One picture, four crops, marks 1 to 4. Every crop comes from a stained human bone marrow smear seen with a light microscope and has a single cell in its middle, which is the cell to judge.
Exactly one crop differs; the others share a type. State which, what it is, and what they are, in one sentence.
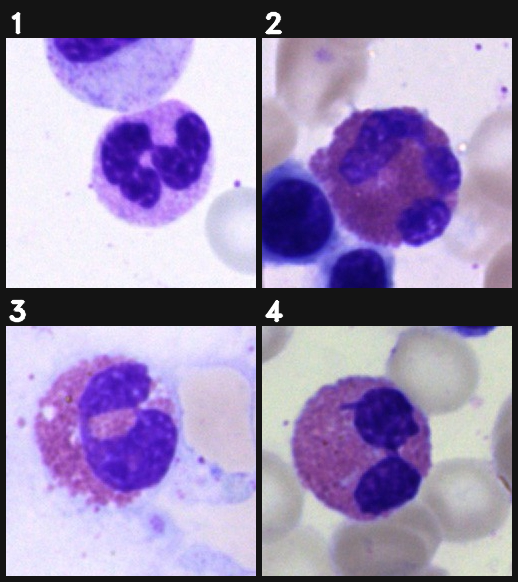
Crop 1 holds a neutrophil, unlike the remaining crops, all of which hold eosinophils.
